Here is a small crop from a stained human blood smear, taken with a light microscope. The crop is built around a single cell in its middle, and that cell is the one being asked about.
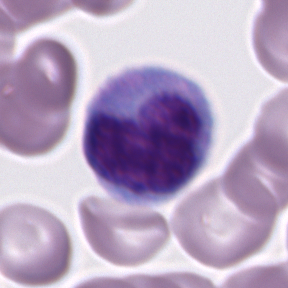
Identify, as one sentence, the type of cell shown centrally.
Among the cells in view, the one in the middle is a monocyte.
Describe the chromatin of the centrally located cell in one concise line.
One feature to record is coarsely clumped chromatin.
